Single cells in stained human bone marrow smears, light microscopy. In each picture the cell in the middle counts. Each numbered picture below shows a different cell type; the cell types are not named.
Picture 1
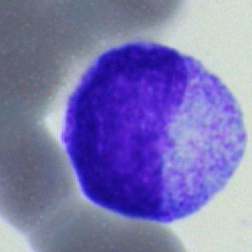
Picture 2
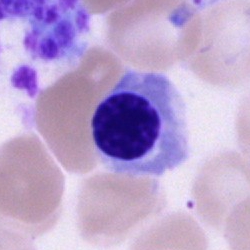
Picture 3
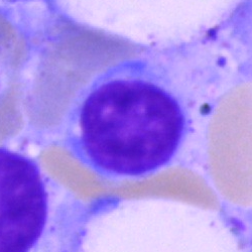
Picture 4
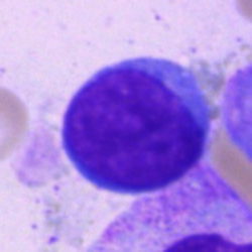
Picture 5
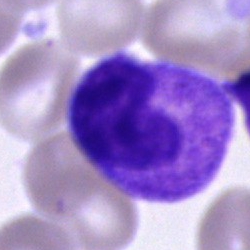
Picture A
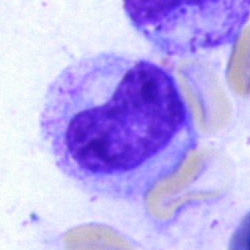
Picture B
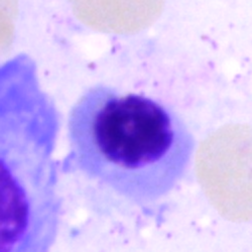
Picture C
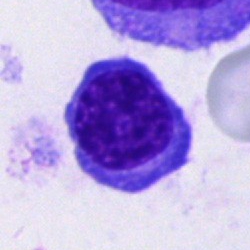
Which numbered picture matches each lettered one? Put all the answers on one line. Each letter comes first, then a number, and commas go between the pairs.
A 5, B 2, C 2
